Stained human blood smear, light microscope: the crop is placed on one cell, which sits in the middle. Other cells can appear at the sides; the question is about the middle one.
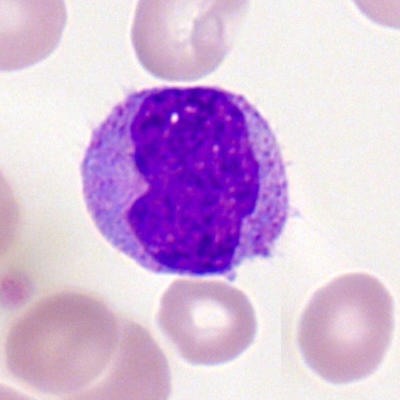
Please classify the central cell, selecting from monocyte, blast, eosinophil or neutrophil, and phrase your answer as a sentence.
As for the cell in the middle, it is a monocyte.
